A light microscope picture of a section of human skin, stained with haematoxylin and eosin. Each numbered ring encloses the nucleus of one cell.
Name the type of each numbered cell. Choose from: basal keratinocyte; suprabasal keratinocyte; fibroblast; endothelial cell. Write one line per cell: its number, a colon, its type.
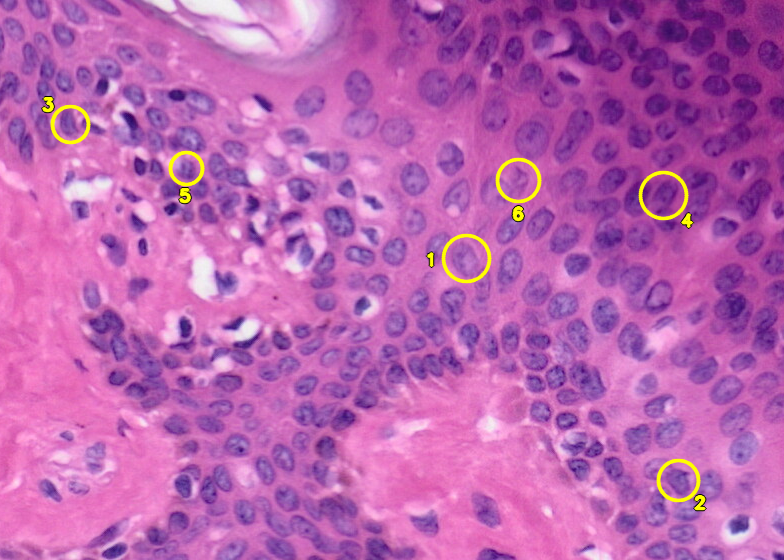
1: suprabasal keratinocyte
2: suprabasal keratinocyte
3: basal keratinocyte
4: suprabasal keratinocyte
5: basal keratinocyte
6: suprabasal keratinocyte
